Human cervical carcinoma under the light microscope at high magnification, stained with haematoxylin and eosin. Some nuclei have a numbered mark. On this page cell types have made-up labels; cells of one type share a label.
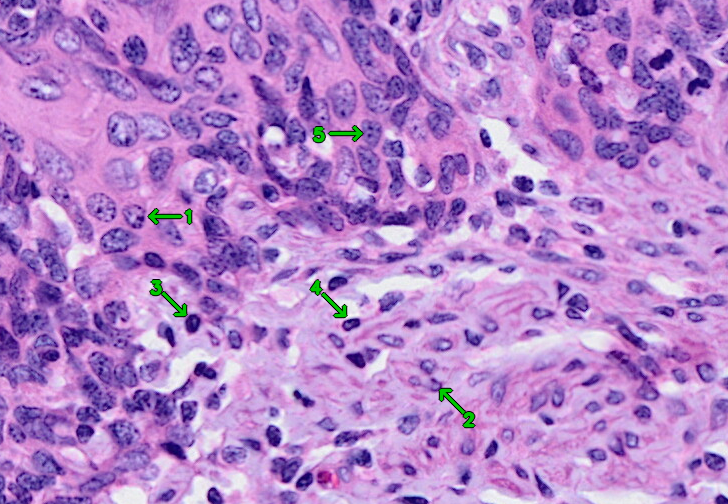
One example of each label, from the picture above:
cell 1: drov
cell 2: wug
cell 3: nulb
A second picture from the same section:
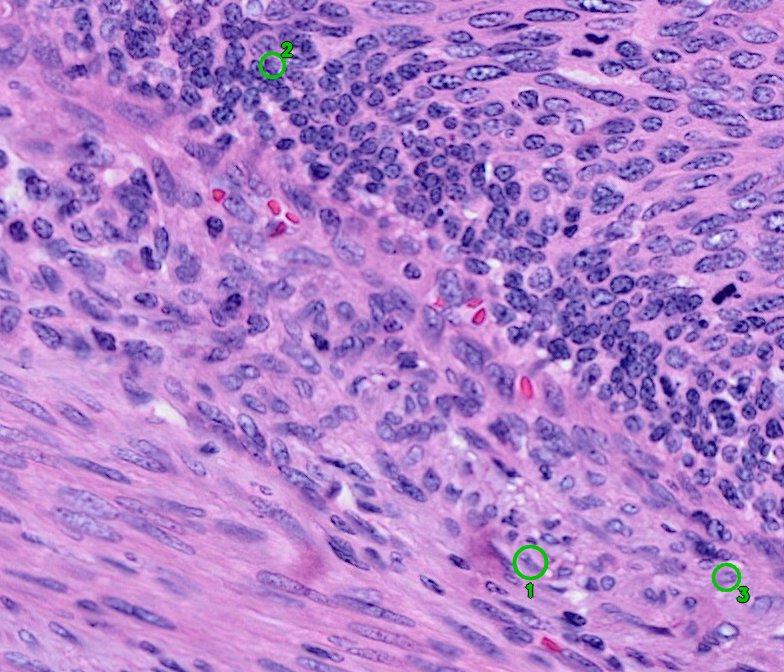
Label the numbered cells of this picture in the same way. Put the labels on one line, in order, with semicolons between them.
wug; drov; wug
